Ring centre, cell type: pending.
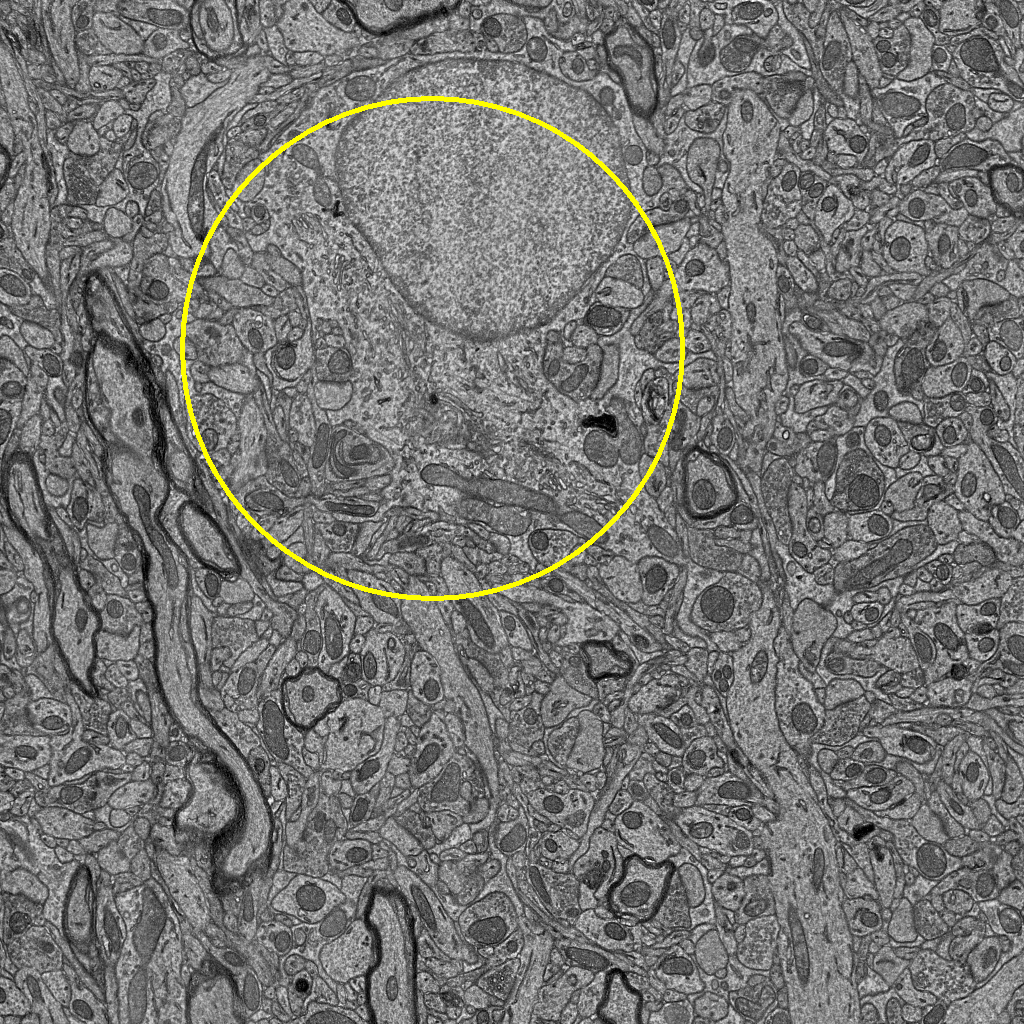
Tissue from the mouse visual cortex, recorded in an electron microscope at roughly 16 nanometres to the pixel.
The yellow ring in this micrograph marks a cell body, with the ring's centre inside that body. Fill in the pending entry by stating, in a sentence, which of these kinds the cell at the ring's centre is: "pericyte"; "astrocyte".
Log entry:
The cell at the ring's centre is recorded as an astrocyte.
